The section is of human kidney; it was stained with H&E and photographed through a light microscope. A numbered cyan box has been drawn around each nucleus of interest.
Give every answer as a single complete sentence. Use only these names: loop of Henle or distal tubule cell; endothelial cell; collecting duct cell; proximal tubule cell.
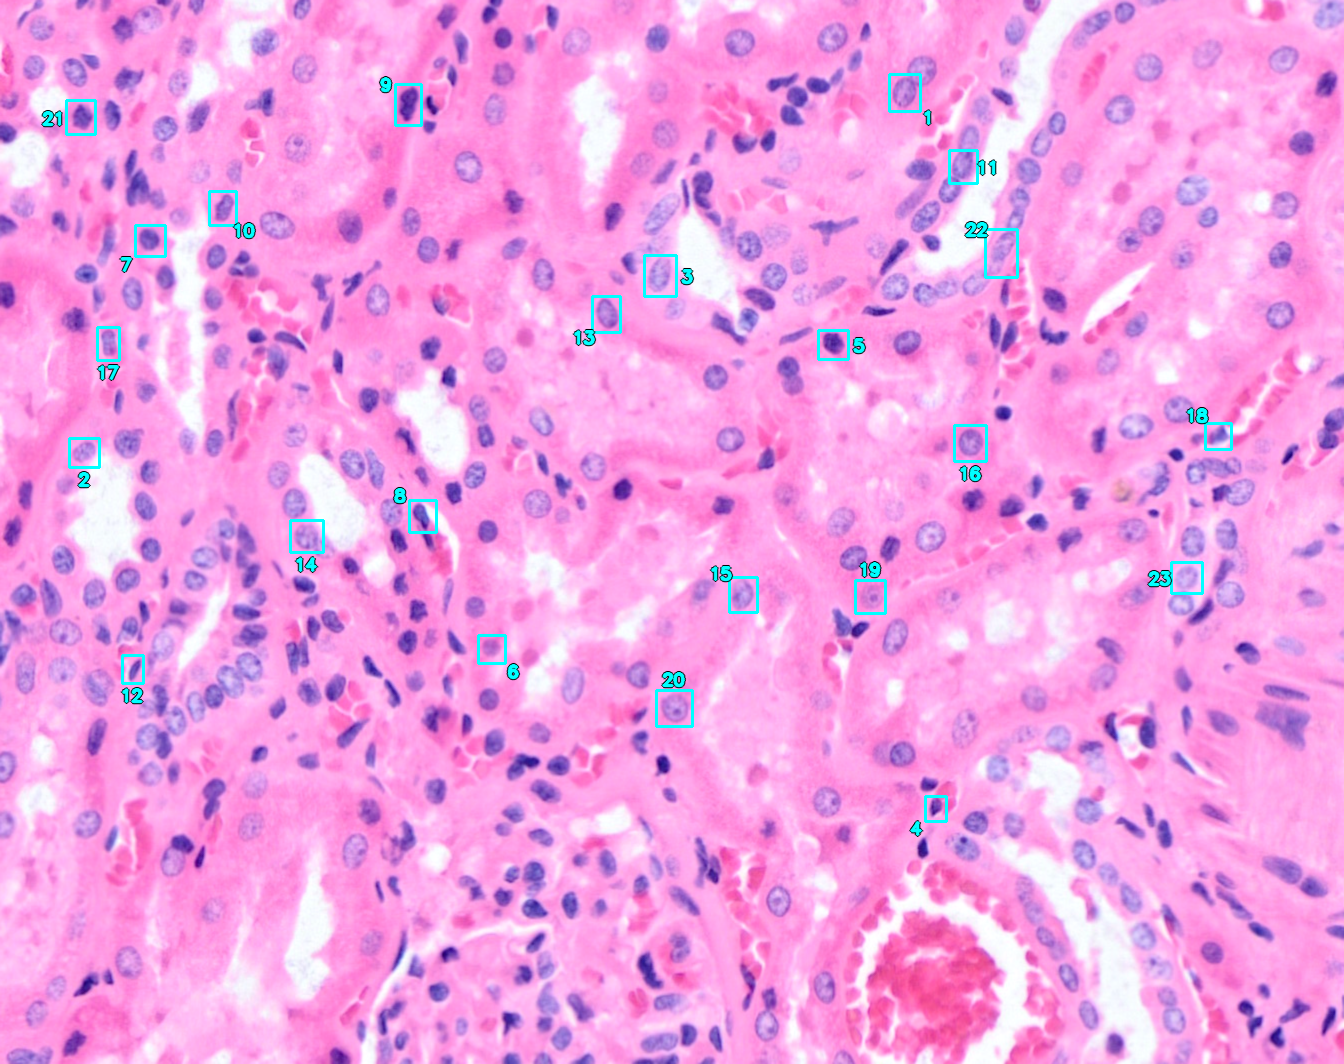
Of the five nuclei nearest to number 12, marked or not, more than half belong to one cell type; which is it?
Most of the five nuclei nearest to number 12 are those of collecting duct cells.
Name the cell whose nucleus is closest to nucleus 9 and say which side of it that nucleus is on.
The nearest nucleus is that of an endothelial cell and lies to the right of nucleus 9.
